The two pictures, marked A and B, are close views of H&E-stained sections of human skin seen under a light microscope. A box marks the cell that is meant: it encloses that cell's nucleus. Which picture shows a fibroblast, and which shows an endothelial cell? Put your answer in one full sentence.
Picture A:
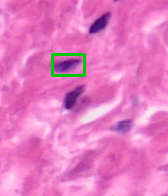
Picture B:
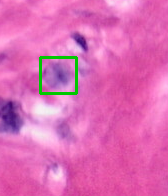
Picture B shows an endothelial cell, while picture A shows a fibroblast.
